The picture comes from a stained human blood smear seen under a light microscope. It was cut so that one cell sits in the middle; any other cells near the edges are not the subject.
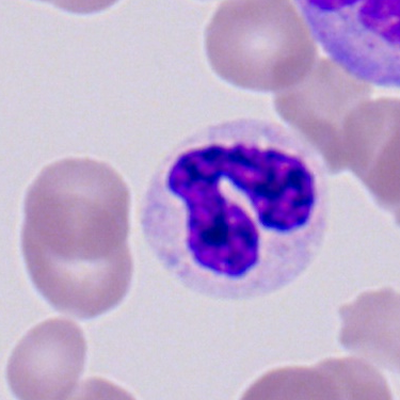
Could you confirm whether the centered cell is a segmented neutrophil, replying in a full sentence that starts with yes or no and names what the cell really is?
Yes, a segmented neutrophil is what the central cell is.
